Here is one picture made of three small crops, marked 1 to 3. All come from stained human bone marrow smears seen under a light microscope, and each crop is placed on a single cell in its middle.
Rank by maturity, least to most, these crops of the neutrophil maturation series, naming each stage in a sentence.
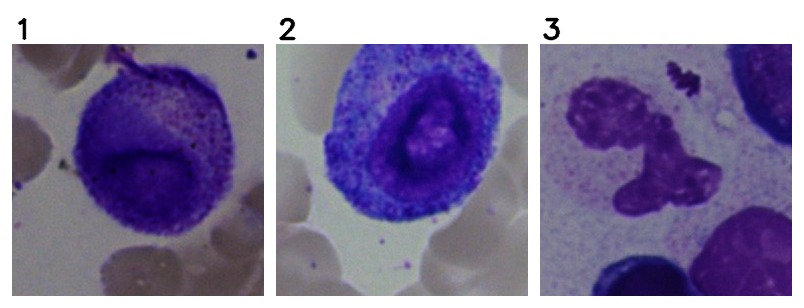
In ascending maturational order, the crops are crop 2 (a promyelocyte), crop 1 (a myelocyte) and crop 3 (a band neutrophil).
